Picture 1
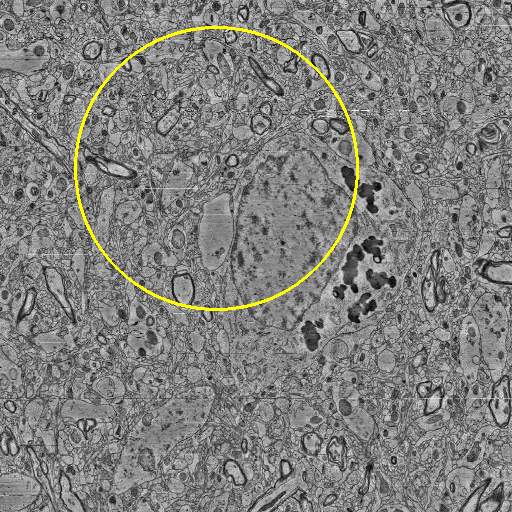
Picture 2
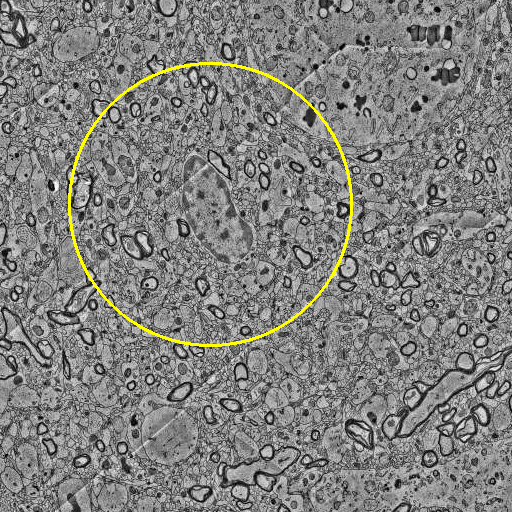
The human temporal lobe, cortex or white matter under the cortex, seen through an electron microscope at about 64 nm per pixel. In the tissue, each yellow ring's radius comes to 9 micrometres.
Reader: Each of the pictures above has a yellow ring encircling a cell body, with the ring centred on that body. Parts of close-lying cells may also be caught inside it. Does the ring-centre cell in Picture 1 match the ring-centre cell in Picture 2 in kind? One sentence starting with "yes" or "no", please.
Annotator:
Yes, Picture 1 and Picture 2 show ring-centre cells of a single kind.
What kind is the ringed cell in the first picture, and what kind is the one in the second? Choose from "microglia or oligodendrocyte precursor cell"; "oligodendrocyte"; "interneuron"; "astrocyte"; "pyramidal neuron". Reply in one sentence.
Each cell, in the first picture and the second, is a microglial cell or oligodendrocyte precursor cell.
